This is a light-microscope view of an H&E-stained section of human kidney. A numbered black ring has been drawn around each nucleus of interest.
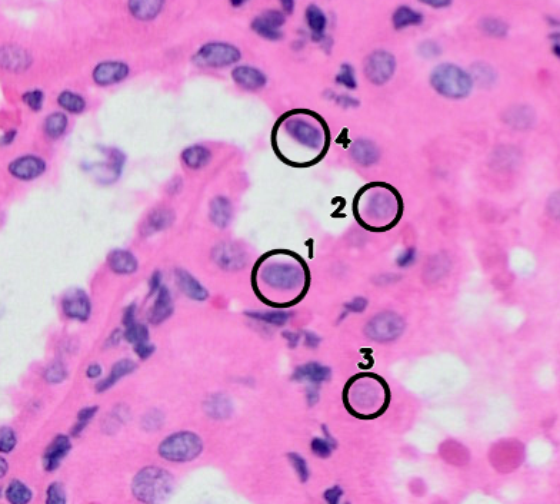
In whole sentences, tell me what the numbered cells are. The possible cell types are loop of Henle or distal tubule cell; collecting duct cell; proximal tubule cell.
Cells 1, 2 and 4 are loop of Henle or distal tubule cells. Cell 3 is a proximal tubule cell.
